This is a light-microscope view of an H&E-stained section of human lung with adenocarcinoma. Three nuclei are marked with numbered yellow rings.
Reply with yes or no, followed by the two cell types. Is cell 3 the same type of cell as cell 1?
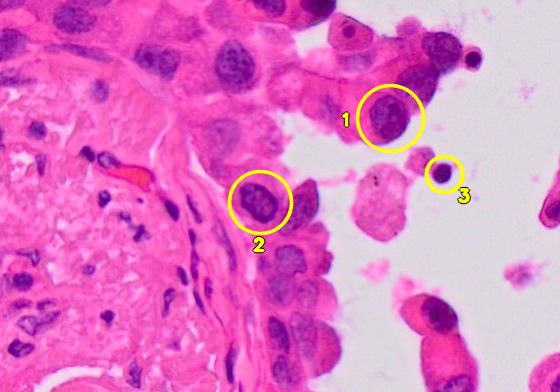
No, cell 3 is classed as a lymphocyte and cell 1 as a carcinoma cell.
